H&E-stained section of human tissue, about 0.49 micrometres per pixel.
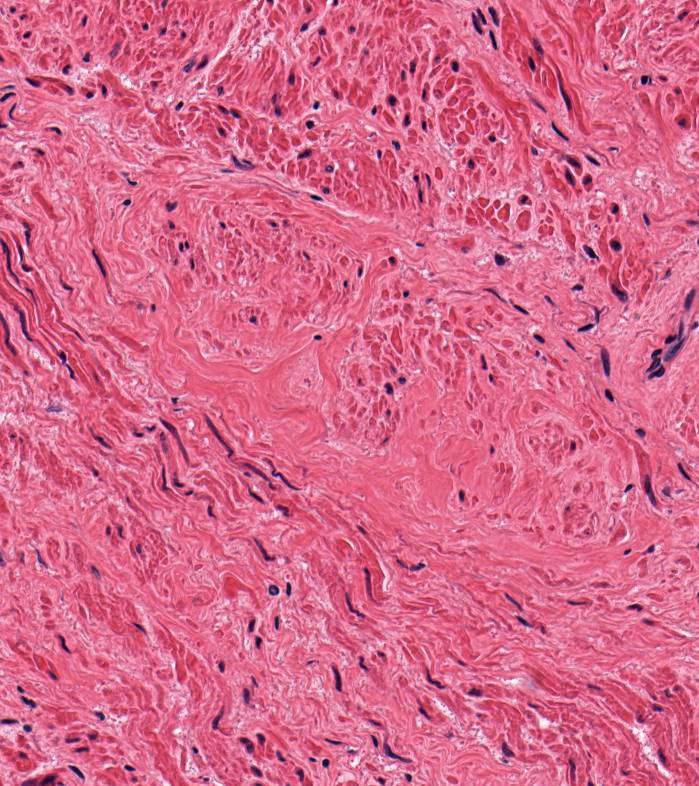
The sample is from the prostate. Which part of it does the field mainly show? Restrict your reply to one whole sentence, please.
What is shown in this section is fibromuscular stroma.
